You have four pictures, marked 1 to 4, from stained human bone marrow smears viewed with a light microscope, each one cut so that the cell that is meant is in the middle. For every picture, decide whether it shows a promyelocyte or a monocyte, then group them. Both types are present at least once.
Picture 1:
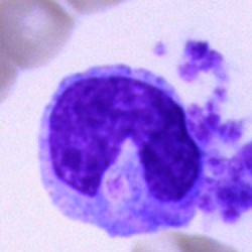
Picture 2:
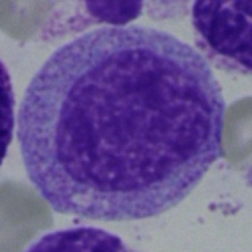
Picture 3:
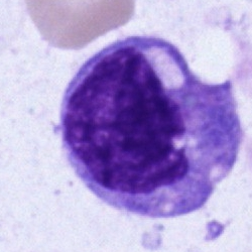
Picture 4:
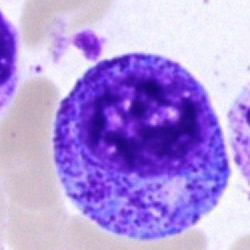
1: monocyte
2: promyelocyte
3: monocyte
4: promyelocyte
